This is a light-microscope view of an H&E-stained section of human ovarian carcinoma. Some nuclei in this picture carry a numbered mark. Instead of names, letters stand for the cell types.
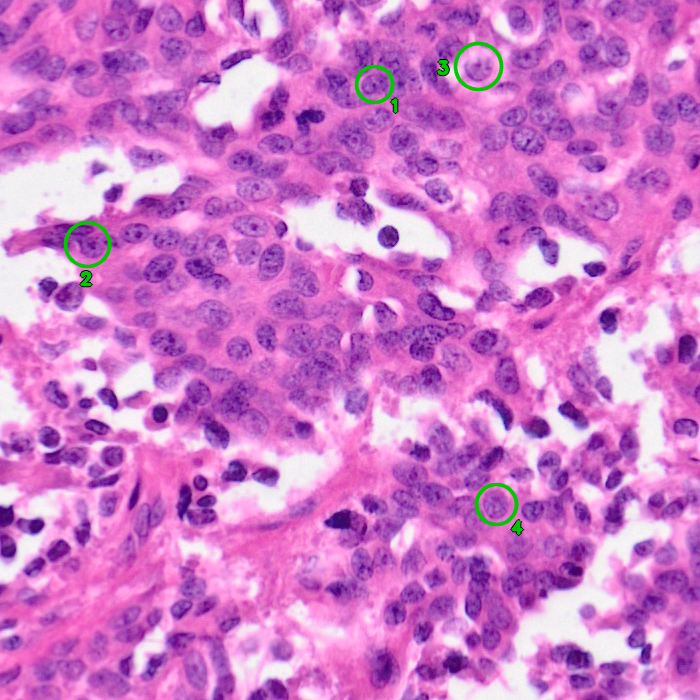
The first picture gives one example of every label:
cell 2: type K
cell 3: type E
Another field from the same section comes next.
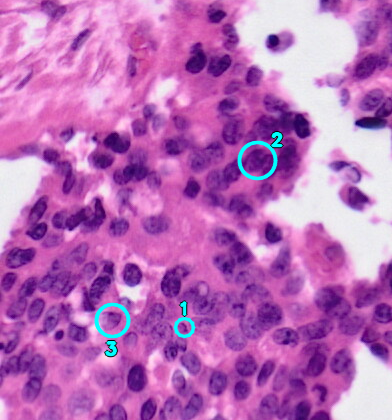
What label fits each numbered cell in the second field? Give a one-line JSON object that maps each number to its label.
{"1": "type K", "2": "type K", "3": "type E"}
